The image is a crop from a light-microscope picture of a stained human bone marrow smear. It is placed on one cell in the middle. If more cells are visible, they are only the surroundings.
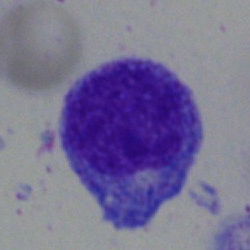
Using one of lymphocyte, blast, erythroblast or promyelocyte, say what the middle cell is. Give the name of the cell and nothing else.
promyelocyte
